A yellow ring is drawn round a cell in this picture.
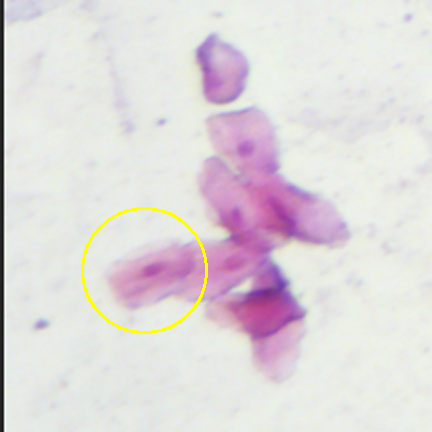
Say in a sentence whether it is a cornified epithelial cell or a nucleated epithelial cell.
The cell in the ring is a nucleated epithelial cell.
